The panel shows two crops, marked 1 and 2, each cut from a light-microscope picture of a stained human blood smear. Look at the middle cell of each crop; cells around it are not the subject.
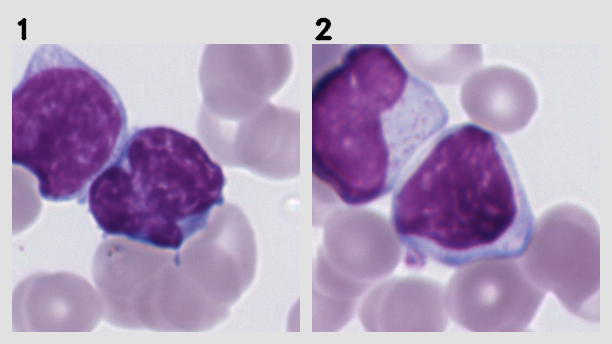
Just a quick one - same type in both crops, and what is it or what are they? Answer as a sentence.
Yes, the two central cells, one per crop, are large granular lymphocytes.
